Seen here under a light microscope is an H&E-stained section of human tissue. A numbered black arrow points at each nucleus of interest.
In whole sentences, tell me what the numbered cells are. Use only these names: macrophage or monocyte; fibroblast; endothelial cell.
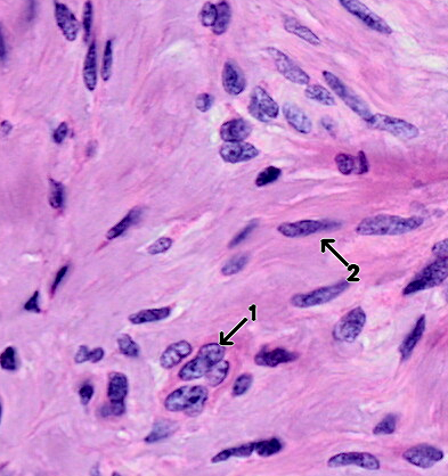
Cell 1 is an endothelial cell. Cell 2 is a fibroblast.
